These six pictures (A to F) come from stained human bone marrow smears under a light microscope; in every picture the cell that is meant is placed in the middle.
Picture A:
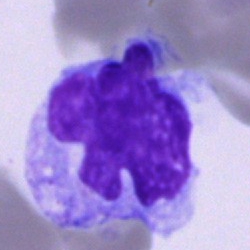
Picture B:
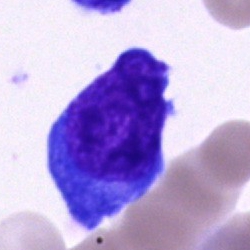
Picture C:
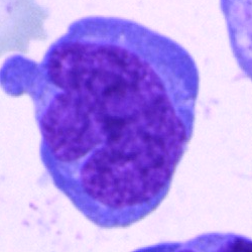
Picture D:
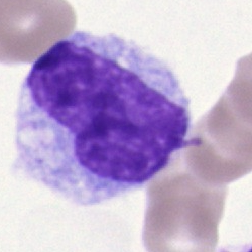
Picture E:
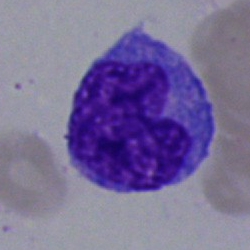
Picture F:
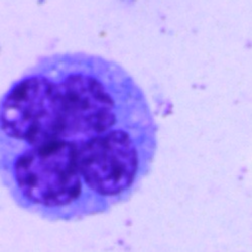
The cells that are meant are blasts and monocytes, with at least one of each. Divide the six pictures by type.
A: monocyte
B: blast
C: blast
D: monocyte
E: monocyte
F: monocyte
